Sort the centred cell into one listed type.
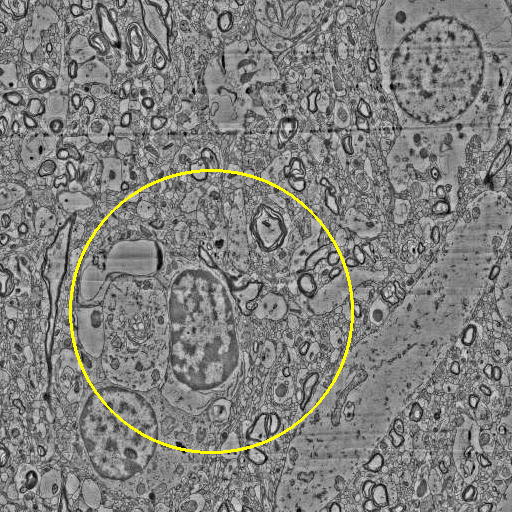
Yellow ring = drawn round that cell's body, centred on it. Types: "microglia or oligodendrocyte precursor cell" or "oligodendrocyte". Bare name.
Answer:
microglia or oligodendrocyte precursor cell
